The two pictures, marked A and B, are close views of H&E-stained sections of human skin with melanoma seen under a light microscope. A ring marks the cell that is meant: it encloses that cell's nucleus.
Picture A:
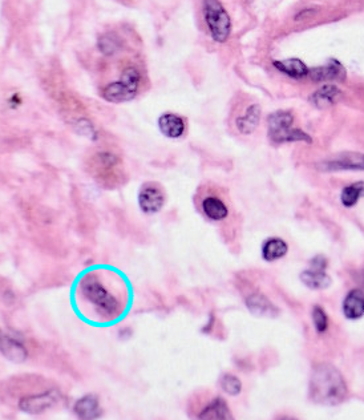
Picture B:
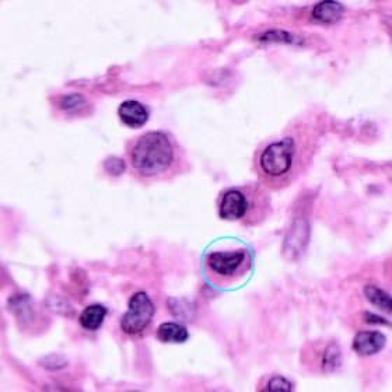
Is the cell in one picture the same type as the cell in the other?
yes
